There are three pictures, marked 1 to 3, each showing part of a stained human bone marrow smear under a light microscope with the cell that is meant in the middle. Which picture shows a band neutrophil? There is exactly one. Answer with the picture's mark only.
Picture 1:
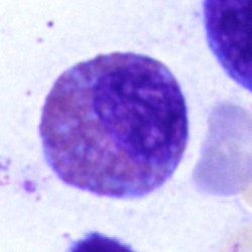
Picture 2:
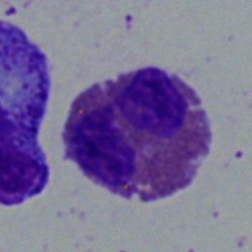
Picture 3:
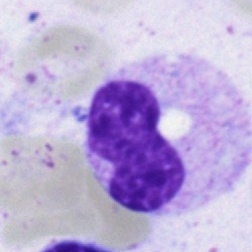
3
